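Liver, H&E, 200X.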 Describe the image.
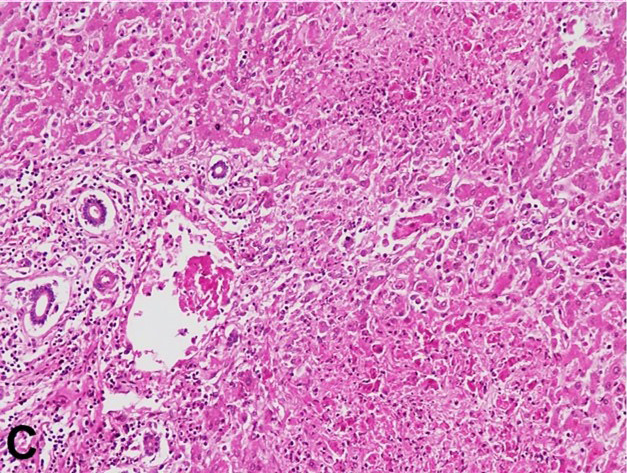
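This field shows hepatic lobule tissue with hepatocyte necrosis next to a portal tract. At the lower left, the portal tract contains small bile ducts lined by cuboidal cells and a vessel holding red blood cells, surrounded by inflammatory cells. The adjoining hepatocytes have lost their orderly plate arrangement and lie apart from one another. Many have intensely pink, shrunken cytoplasm with faded or absent nuclei, while scattered small dark inflammatory cells lie among them.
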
